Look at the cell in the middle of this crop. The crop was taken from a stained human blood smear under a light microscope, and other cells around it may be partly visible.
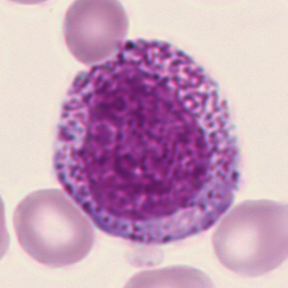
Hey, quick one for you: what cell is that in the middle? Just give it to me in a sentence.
The cell featured at the centre of this crop is a myelocyte.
